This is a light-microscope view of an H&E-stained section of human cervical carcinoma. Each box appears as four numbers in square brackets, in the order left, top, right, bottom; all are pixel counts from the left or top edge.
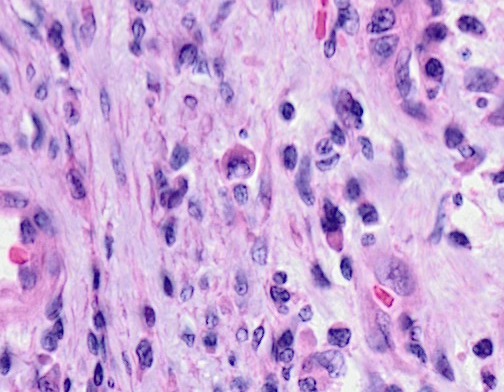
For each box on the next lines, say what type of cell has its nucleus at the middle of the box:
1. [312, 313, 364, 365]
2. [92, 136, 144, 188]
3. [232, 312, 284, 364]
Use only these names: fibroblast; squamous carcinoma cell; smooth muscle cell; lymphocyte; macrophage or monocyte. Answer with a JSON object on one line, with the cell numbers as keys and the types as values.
{"1": "lymphocyte", "2": "fibroblast", "3": "lymphocyte"}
